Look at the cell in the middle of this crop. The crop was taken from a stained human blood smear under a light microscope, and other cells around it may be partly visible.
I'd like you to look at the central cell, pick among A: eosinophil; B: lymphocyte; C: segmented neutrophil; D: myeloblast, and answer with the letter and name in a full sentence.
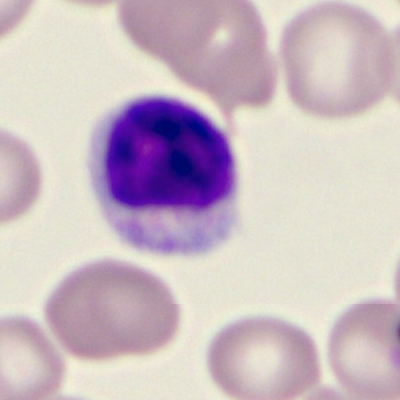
Option B is correct in that the central cell is a lymphocyte.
